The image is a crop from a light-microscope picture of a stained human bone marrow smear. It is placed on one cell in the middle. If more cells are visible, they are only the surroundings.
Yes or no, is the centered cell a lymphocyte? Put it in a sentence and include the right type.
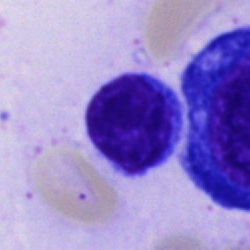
Yes, the one cell at the centre is a lymphocyte.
